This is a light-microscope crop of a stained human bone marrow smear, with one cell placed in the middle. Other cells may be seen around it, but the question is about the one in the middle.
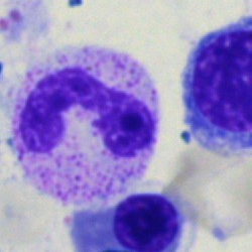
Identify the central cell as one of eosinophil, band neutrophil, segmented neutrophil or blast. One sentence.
The cell under consideration, at the middle of the crop, is a band neutrophil.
